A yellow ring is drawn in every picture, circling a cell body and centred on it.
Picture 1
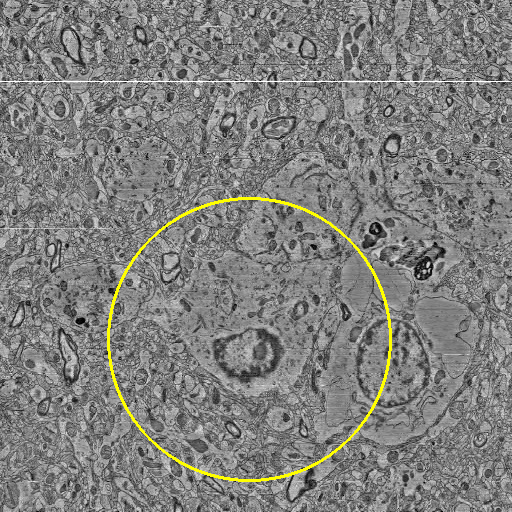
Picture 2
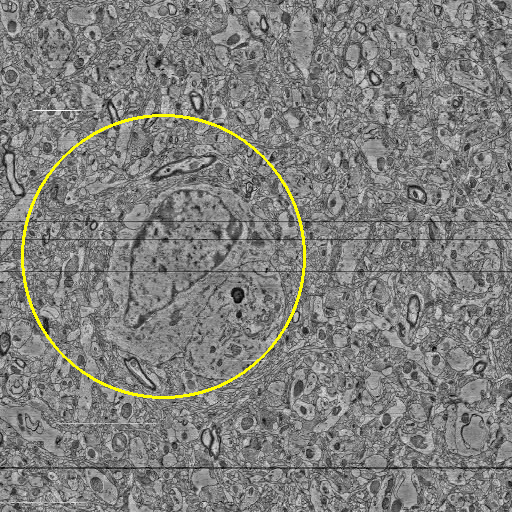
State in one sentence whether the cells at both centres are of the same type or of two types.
The cells at the two ring centres, one per picture, are of the same type.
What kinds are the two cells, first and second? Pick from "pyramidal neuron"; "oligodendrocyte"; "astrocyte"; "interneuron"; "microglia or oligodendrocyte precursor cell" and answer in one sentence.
The first and the second cell are each a microglial cell or oligodendrocyte precursor cell.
